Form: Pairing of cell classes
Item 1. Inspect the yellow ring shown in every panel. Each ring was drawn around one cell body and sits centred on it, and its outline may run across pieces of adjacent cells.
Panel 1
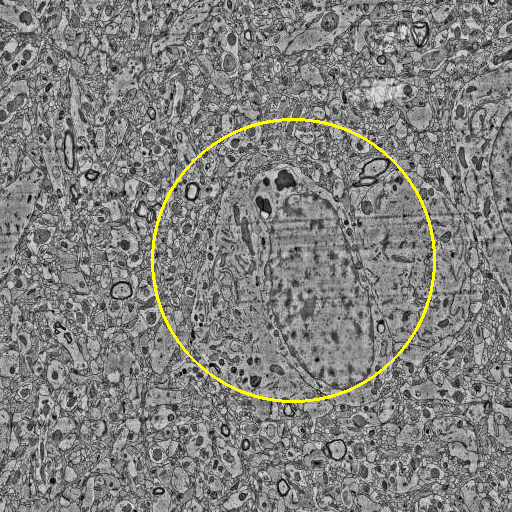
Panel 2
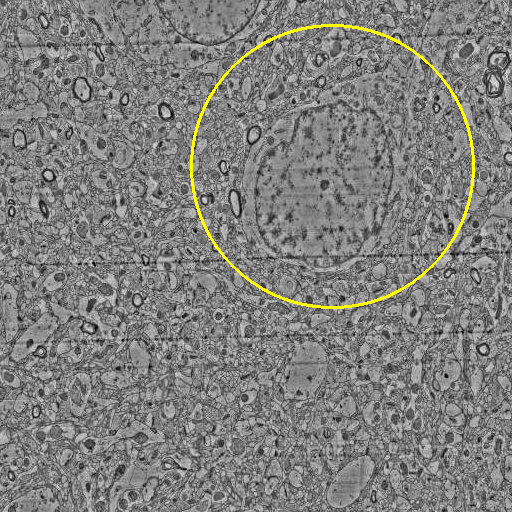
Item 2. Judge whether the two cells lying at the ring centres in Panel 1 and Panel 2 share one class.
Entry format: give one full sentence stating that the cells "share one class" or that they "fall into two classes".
The cells at the ring centres in Panel 1 and Panel 2 share one class.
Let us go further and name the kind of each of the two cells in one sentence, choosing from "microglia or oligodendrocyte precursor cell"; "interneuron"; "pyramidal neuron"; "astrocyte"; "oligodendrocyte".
In the first picture and in the second, the ring is centred on an interneuron.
